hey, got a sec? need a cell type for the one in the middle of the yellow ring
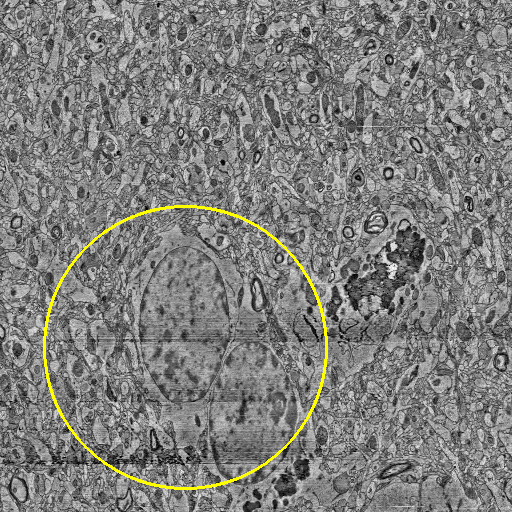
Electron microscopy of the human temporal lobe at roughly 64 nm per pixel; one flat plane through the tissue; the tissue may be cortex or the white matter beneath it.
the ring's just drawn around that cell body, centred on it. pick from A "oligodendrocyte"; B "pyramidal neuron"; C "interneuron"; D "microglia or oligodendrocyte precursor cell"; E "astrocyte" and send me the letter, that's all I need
E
